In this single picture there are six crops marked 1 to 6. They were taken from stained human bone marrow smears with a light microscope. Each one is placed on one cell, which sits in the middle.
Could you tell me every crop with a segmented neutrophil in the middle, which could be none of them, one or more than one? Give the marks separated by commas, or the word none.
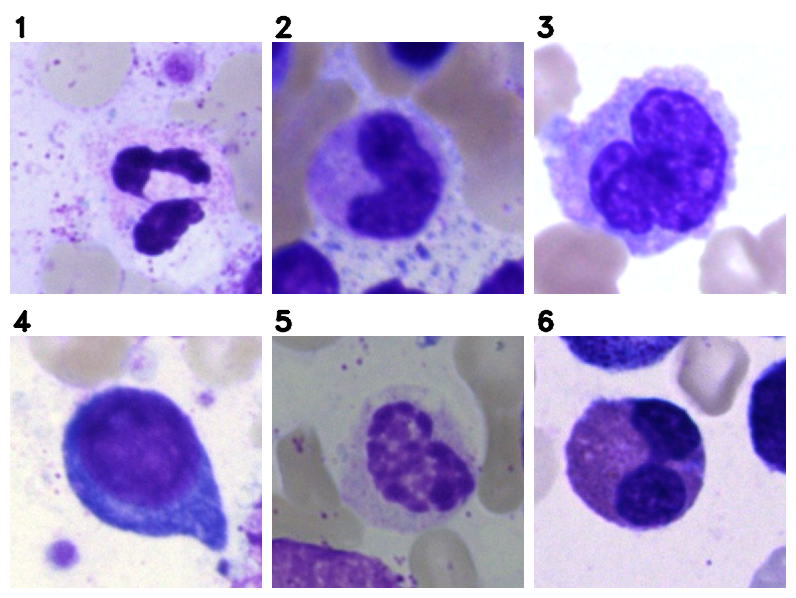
1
